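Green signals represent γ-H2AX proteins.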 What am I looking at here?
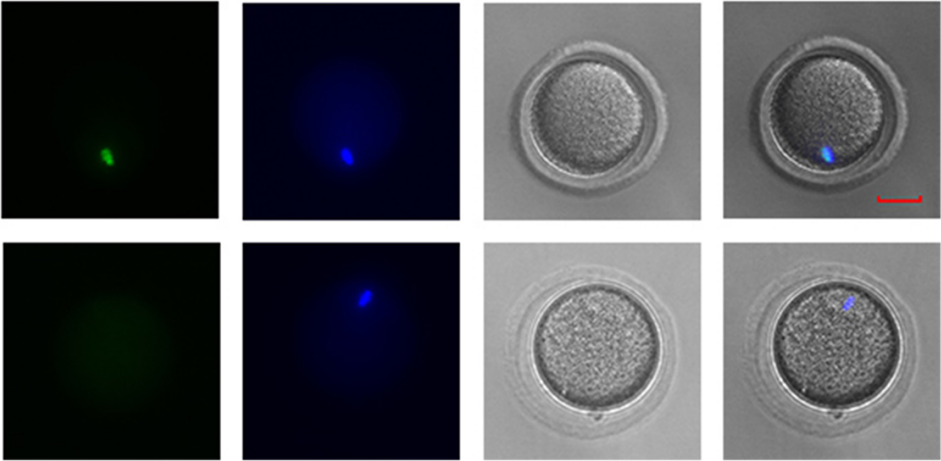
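These are single large, round oocytes. Each has evenly granular cytoplasm and is enclosed by a thick, clear outer coat, with a narrow space between the coat and the cell. The chromatin appears as one small, compact blue body near the cell's edge. In the upper row, a bright green spot lies on the blue chromatin, while in the lower row there is only faint, diffuse green background.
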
